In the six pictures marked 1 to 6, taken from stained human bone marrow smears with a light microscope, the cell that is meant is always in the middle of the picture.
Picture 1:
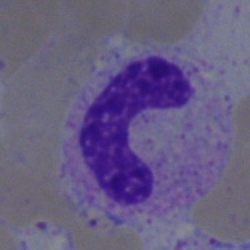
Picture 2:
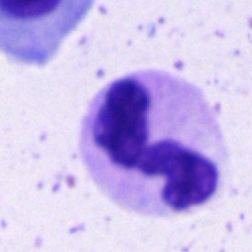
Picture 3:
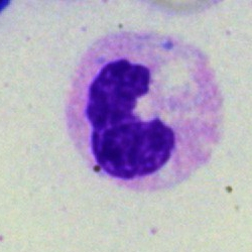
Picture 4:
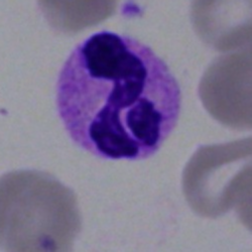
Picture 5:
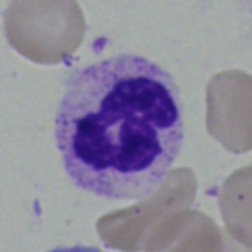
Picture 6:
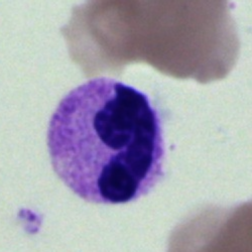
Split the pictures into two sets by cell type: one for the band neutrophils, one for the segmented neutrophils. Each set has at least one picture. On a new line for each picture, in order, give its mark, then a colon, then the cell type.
1: band neutrophil
2: segmented neutrophil
3: band neutrophil
4: segmented neutrophil
5: segmented neutrophil
6: segmented neutrophil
